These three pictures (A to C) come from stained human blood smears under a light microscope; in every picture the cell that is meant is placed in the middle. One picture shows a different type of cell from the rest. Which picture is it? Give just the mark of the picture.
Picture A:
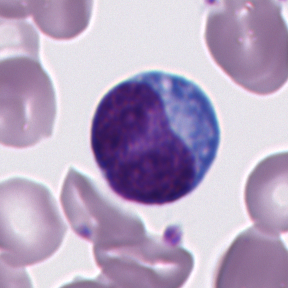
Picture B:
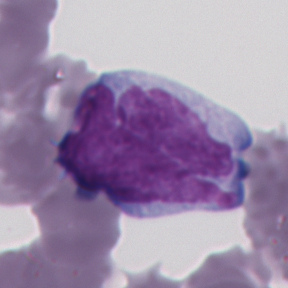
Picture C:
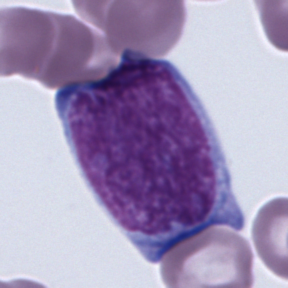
A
